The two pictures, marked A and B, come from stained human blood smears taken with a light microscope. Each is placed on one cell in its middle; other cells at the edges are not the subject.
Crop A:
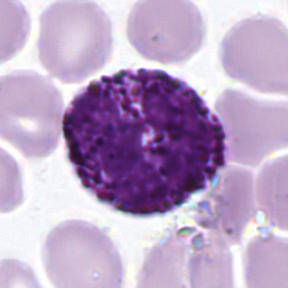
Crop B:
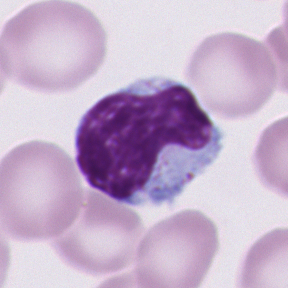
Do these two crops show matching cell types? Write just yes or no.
no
